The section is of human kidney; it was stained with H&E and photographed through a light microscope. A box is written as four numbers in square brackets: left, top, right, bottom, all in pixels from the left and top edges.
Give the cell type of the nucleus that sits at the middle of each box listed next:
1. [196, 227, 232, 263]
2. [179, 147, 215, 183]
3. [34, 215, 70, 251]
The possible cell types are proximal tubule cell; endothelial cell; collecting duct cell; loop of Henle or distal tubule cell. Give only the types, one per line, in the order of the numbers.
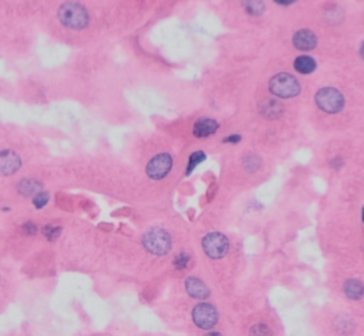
proximal tubule cell
endothelial cell
proximal tubule cell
